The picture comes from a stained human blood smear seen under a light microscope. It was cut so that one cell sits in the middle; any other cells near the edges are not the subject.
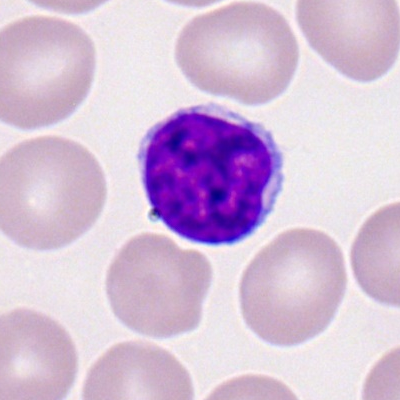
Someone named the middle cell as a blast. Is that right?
no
